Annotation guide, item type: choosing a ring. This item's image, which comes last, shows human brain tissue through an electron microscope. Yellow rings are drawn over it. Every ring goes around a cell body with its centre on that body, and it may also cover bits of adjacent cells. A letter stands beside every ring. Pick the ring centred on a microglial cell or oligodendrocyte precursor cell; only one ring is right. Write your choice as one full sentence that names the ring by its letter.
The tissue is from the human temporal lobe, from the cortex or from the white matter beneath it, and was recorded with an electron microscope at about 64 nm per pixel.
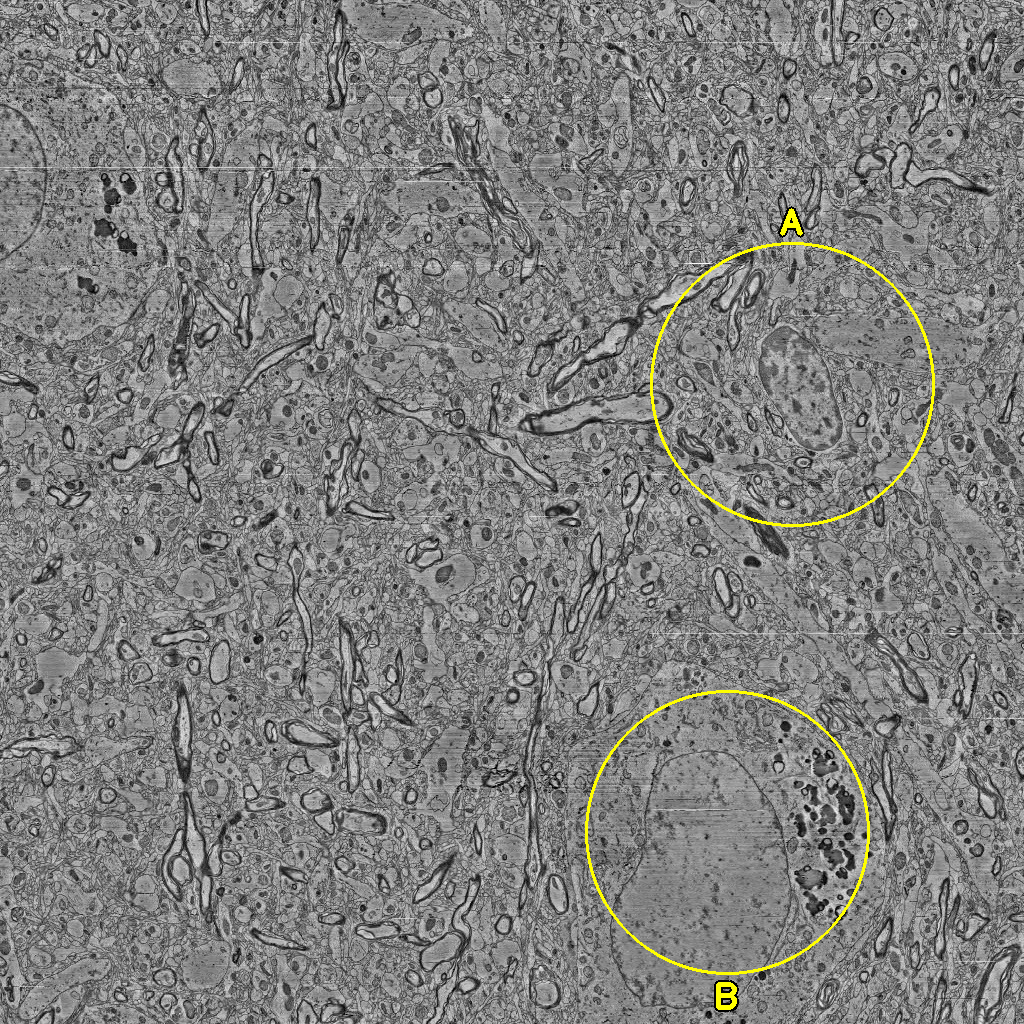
In the image, Ring A is centred on a cell of the kind requested.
